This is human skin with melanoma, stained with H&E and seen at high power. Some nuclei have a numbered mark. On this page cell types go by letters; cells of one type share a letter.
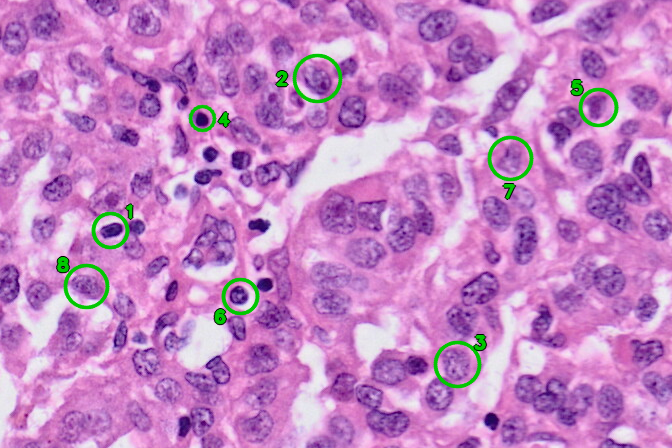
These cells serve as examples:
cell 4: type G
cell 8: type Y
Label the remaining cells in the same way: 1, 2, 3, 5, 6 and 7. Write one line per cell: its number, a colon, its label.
1: type G
2: type Y
3: type Y
5: type Y
6: type G
7: type Y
